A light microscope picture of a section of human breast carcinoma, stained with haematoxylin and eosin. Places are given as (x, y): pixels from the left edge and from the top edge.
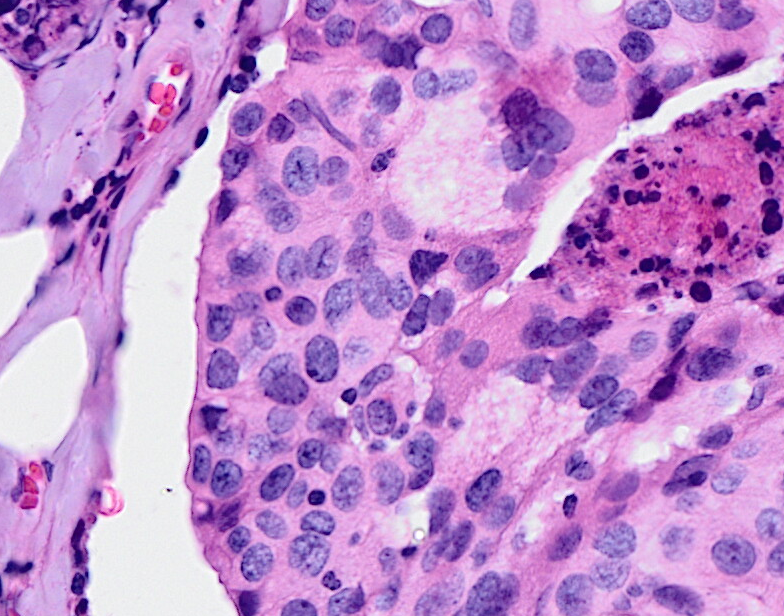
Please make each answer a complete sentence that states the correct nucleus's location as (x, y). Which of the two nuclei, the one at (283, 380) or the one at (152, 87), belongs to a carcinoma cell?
So, of the two, the nucleus at (283, 380) is the one belonging to a carcinoma cell.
